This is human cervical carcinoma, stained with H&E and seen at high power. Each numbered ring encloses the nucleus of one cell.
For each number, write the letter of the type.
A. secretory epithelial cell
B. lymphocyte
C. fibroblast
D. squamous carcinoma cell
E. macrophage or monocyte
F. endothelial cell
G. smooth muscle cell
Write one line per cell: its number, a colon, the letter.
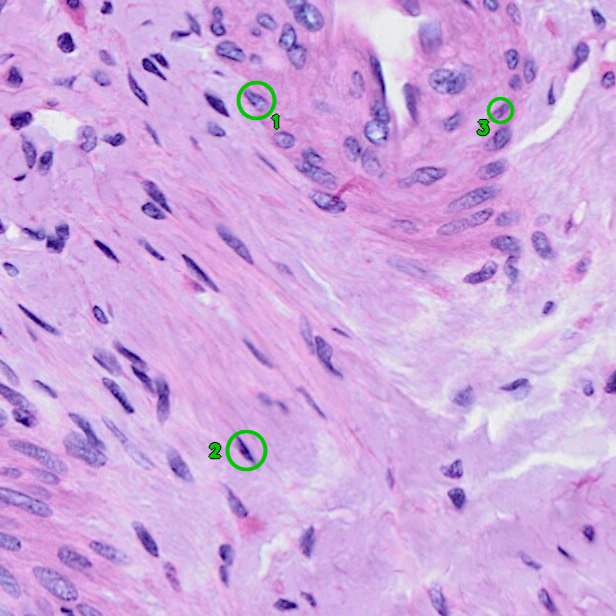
1: G
2: C
3: G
